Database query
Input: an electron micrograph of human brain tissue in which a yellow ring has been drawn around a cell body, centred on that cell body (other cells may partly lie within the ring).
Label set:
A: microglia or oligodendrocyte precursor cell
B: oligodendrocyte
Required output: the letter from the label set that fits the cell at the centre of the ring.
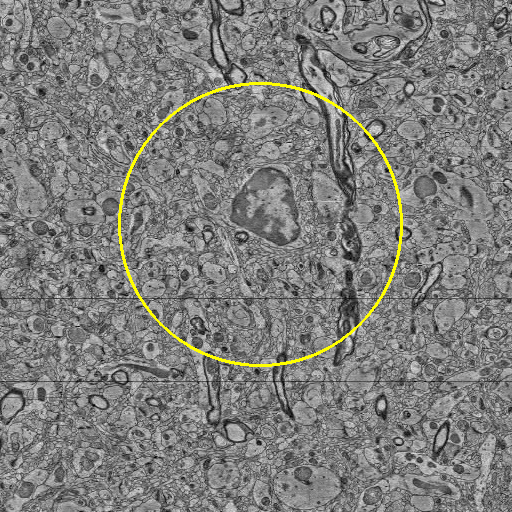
A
